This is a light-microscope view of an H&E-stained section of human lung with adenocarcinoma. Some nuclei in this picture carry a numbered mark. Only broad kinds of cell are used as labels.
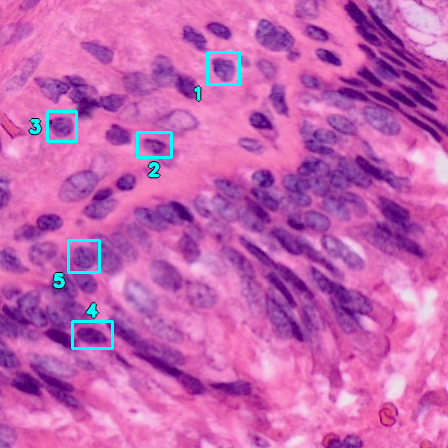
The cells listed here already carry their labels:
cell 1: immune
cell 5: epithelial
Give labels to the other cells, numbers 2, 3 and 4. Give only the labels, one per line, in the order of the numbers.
immune
immune
epithelial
